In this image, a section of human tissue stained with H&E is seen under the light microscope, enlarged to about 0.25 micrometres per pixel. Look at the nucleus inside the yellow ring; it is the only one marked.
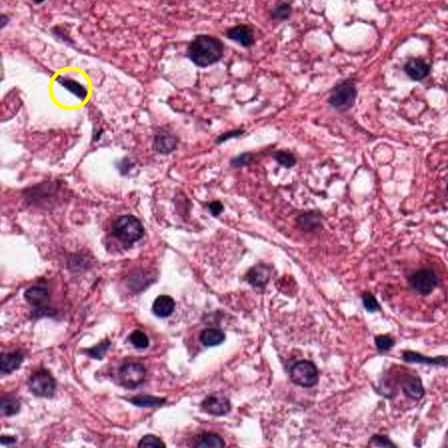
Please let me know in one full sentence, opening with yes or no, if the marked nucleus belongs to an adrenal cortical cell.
No, the marked nucleus is assigned not to an adrenal cortical cell but to a supporting cell.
